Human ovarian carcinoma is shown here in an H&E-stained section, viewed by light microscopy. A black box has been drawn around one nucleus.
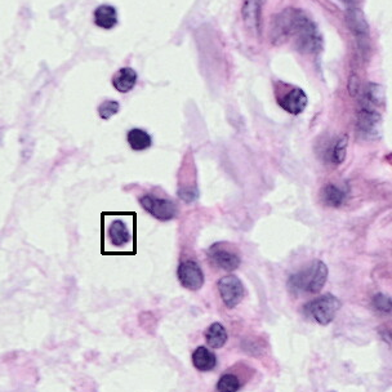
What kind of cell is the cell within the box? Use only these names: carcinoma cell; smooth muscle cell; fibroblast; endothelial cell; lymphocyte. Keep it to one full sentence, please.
Within this tissue, the cell within the box is a lymphocyte.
